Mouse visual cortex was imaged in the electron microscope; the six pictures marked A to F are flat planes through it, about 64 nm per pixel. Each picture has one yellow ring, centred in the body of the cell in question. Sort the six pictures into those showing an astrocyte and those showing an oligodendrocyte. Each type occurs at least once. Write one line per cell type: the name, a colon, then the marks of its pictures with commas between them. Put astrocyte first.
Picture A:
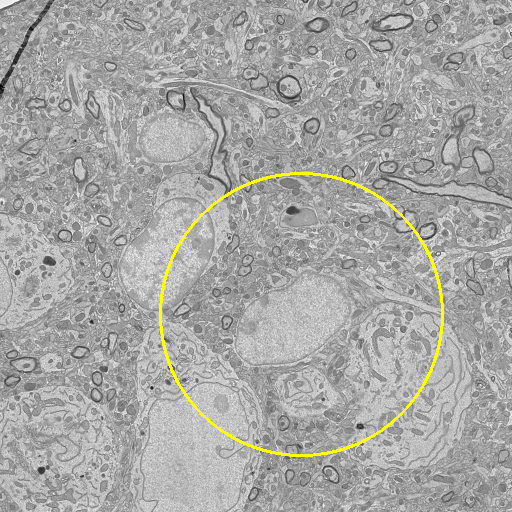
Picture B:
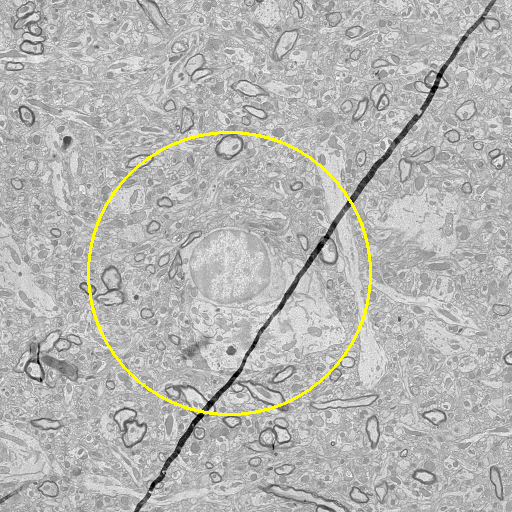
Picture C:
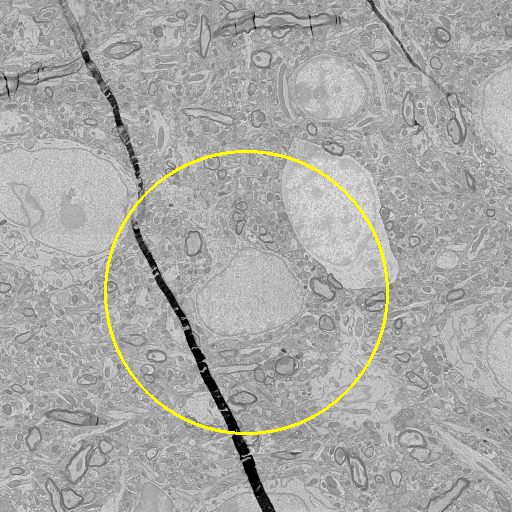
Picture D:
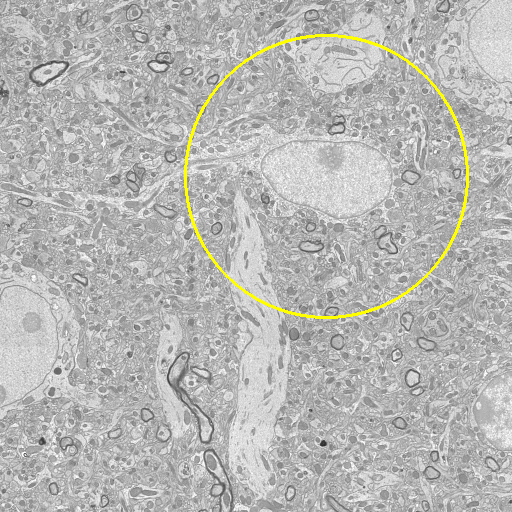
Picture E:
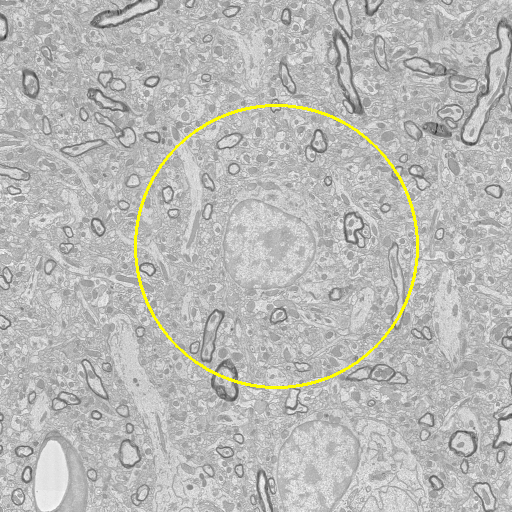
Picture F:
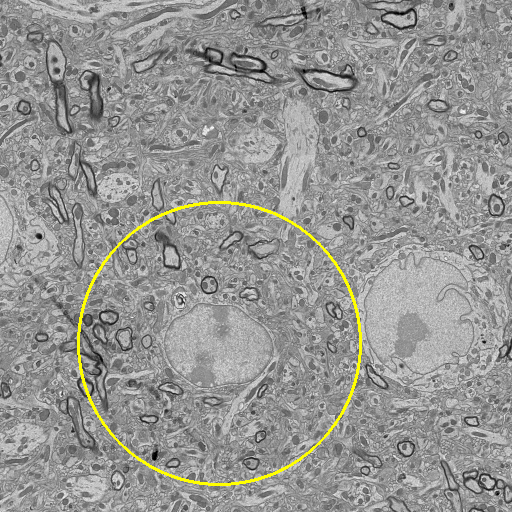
astrocyte: A, C, D, F
oligodendrocyte: B, E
